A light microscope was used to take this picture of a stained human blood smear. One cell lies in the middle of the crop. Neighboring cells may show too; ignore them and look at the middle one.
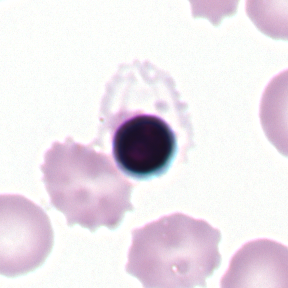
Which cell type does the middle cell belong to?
normoblast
